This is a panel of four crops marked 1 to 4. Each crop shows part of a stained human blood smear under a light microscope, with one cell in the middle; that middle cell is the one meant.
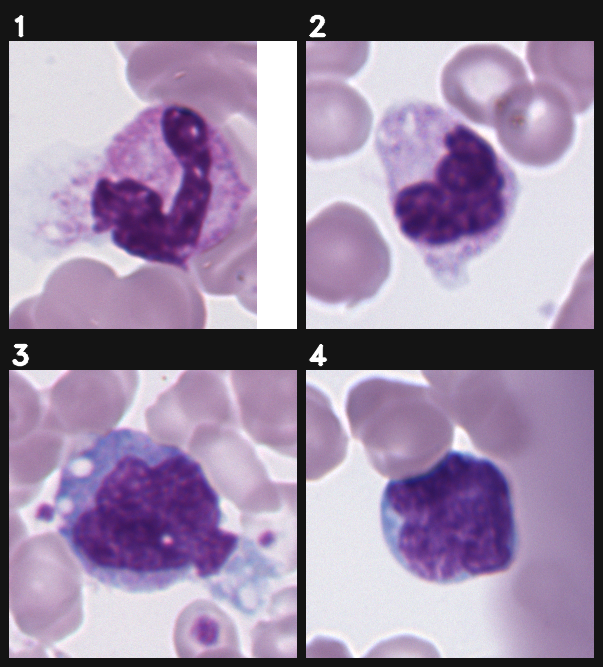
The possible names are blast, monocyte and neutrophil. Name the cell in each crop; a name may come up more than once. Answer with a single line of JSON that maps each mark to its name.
{"1": "neutrophil", "2": "neutrophil", "3": "monocyte", "4": "monocyte"}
